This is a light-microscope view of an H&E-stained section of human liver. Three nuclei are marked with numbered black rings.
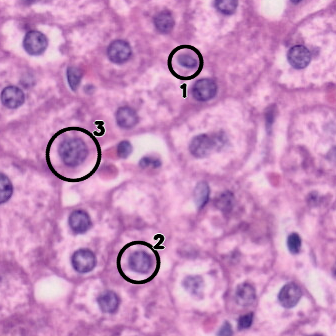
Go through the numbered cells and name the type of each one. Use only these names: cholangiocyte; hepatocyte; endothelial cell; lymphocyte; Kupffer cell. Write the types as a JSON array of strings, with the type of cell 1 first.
["endothelial cell", "hepatocyte", "hepatocyte"]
